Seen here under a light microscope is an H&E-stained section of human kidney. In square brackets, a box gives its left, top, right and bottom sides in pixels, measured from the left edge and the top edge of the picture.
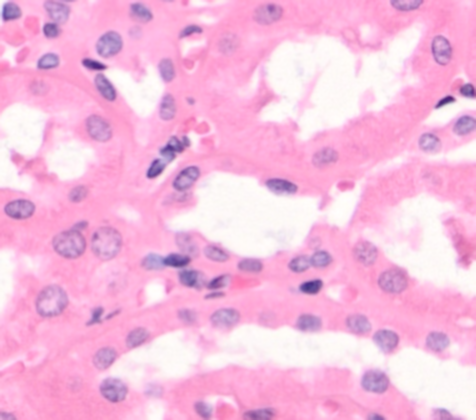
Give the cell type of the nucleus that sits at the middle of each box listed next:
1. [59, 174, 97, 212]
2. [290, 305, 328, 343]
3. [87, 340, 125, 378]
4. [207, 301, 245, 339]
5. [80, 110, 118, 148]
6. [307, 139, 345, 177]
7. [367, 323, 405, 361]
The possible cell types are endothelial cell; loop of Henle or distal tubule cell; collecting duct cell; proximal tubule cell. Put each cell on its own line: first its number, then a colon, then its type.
1: proximal tubule cell
2: loop of Henle or distal tubule cell
3: loop of Henle or distal tubule cell
4: loop of Henle or distal tubule cell
5: proximal tubule cell
6: proximal tubule cell
7: loop of Henle or distal tubule cell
